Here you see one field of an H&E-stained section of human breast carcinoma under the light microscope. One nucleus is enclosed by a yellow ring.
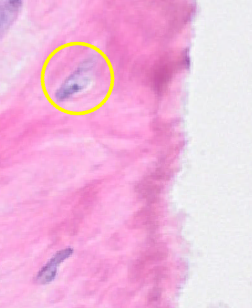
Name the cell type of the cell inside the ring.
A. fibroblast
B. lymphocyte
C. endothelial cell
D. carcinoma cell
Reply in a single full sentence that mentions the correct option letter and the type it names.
Option A is right in classifying the cell inside the ring as a fibroblast.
